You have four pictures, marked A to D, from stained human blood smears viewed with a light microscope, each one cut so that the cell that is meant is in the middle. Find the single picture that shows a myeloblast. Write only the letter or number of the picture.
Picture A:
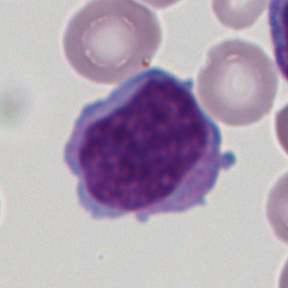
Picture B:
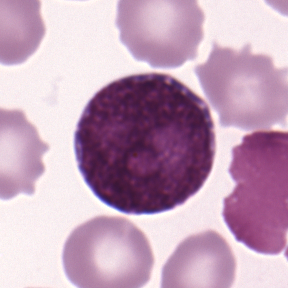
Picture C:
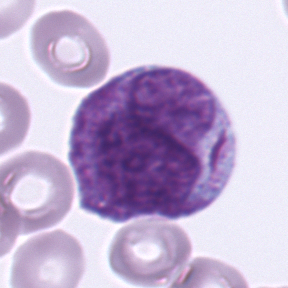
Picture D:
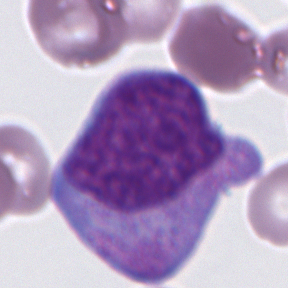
B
